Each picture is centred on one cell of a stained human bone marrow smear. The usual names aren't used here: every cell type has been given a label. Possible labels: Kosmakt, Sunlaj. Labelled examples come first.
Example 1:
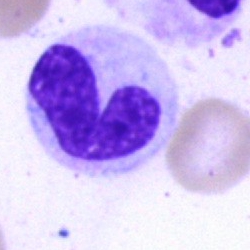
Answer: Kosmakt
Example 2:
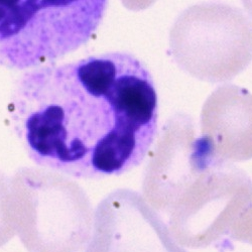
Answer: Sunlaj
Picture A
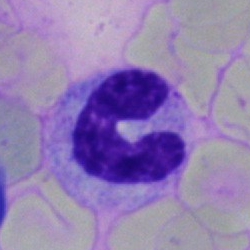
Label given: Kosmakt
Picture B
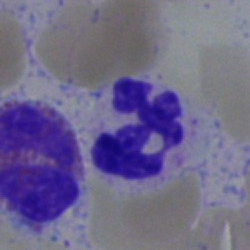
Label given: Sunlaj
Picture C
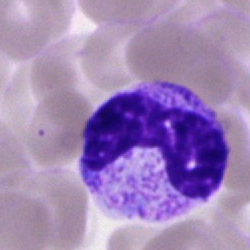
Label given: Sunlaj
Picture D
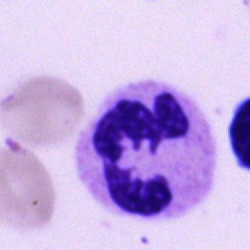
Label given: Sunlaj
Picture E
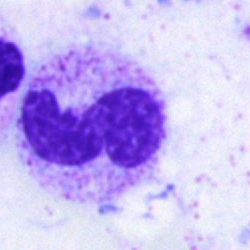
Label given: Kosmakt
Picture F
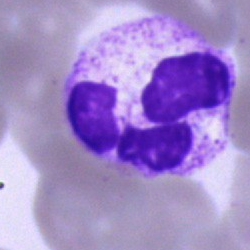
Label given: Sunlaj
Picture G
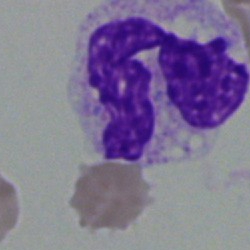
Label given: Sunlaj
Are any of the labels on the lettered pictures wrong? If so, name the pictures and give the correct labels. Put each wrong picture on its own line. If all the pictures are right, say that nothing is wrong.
C is labelled Sunlaj; correct label: Kosmakt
